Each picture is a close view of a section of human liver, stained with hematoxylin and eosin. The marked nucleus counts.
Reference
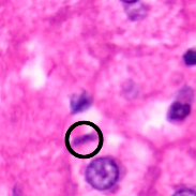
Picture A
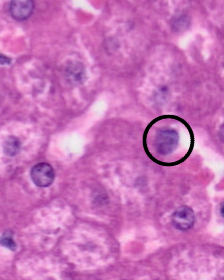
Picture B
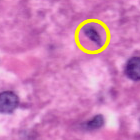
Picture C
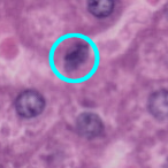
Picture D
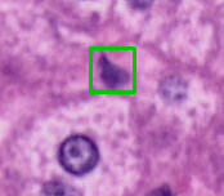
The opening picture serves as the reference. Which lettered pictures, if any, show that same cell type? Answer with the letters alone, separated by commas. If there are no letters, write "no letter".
A, B, C, D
